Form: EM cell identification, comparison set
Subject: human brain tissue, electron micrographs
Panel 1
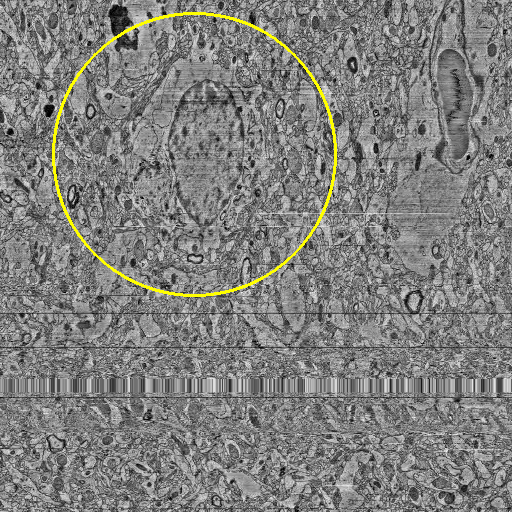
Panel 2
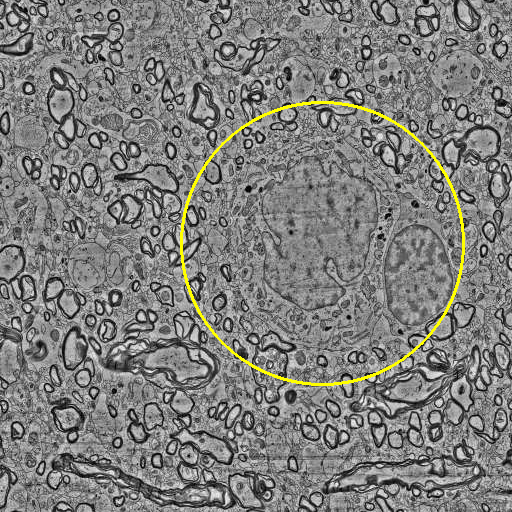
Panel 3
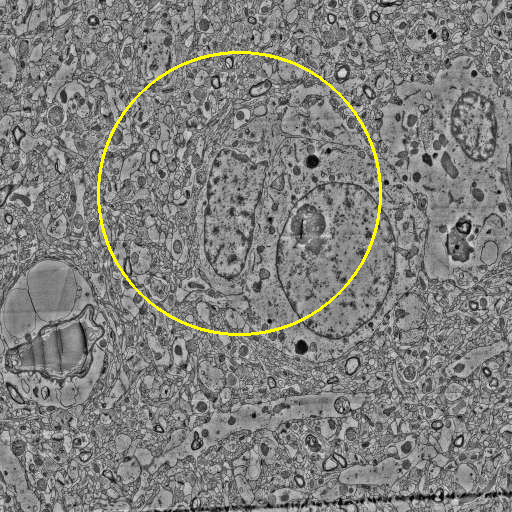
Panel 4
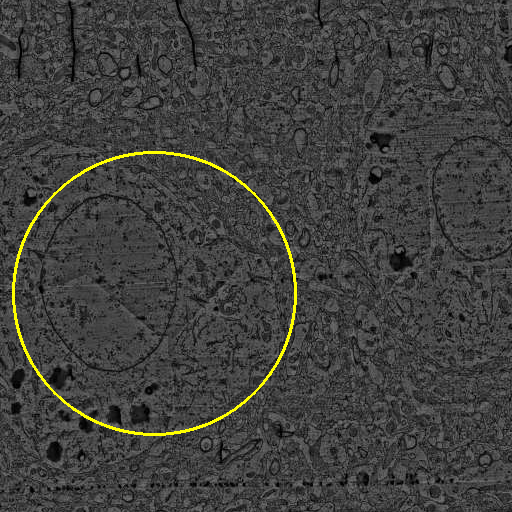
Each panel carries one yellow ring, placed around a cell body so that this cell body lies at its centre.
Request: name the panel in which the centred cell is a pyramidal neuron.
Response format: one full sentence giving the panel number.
Panel 4 has it at the centre of its ring.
